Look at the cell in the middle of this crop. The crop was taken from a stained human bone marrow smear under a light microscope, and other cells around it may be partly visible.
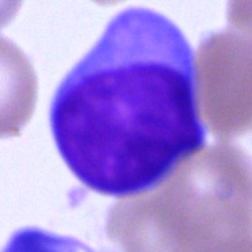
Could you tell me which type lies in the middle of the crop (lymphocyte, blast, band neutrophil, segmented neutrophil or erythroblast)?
blast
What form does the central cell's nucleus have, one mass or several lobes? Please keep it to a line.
Worth pointing out that its nucleus is one compact mass, round, oval or reniform.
